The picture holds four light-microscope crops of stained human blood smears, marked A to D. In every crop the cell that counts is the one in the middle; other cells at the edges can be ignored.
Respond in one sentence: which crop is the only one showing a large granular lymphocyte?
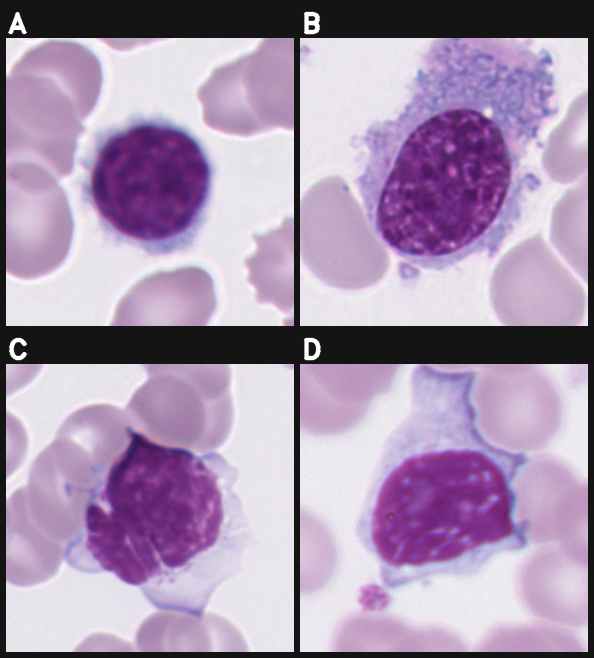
The crop marked C is the one in which a large granular lymphocyte is shown.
